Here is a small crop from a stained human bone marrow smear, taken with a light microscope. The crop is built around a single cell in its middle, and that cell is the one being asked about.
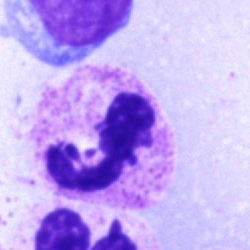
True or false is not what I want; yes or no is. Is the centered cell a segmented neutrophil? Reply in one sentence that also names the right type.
Yes, the centred cell is categorised as a segmented neutrophil.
